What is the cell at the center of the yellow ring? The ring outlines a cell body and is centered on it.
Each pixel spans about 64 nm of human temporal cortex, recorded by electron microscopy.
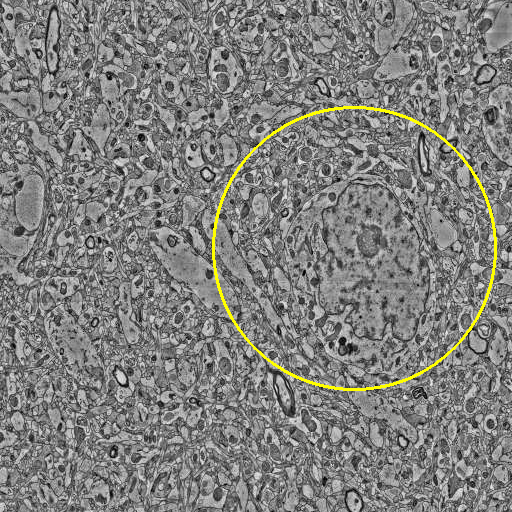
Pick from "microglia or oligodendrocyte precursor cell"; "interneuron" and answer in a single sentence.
The yellow ring is centered on an interneuron.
